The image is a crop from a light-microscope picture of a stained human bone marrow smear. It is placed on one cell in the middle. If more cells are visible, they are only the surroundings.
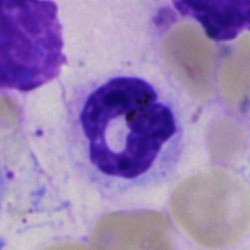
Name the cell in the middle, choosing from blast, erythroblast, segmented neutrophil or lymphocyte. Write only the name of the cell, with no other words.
segmented neutrophil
